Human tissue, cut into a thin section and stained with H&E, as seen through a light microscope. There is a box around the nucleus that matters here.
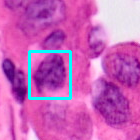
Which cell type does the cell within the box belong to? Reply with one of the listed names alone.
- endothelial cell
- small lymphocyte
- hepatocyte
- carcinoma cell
carcinoma cell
